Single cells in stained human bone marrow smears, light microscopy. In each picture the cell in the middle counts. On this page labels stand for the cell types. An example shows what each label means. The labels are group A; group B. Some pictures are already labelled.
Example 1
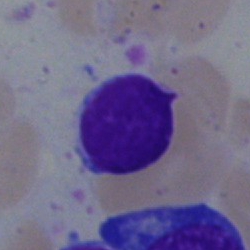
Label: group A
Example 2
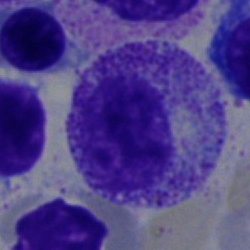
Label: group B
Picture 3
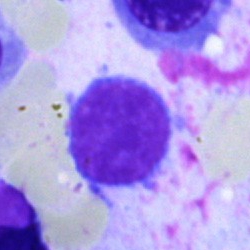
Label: group A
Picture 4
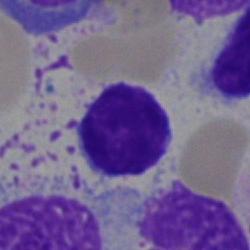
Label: group A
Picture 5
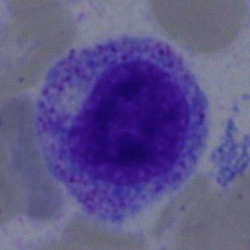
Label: group B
